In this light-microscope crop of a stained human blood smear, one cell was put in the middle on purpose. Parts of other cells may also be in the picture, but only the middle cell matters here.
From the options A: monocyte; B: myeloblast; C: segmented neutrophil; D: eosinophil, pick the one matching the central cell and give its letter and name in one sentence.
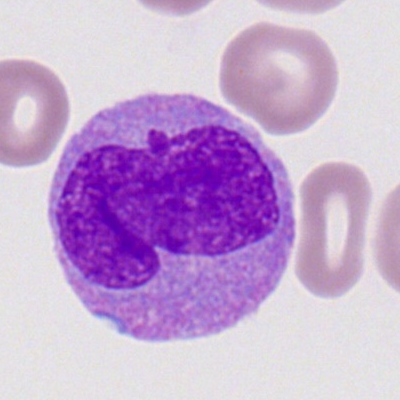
Since the cell in the centre is a monocyte, the correct option is A.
